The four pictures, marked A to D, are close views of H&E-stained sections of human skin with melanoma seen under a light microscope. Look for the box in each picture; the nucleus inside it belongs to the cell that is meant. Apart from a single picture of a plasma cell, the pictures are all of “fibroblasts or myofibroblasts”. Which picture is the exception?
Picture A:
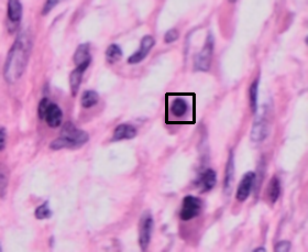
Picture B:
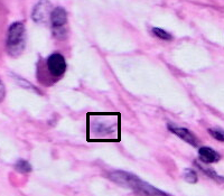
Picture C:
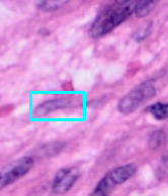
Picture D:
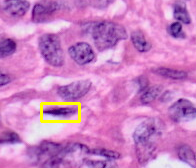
A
